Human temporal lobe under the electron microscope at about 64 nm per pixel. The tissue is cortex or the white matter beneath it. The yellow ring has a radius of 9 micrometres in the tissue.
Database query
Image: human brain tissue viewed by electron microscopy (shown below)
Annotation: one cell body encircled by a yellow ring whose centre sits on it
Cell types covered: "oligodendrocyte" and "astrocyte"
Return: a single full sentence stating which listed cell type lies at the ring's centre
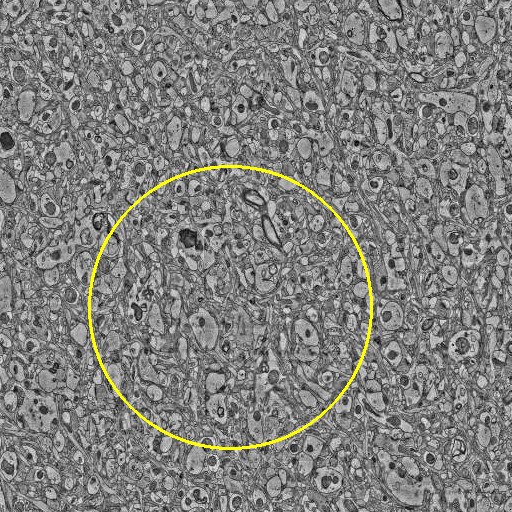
In the image, the cell lying at the ring's centre is an oligodendrocyte.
